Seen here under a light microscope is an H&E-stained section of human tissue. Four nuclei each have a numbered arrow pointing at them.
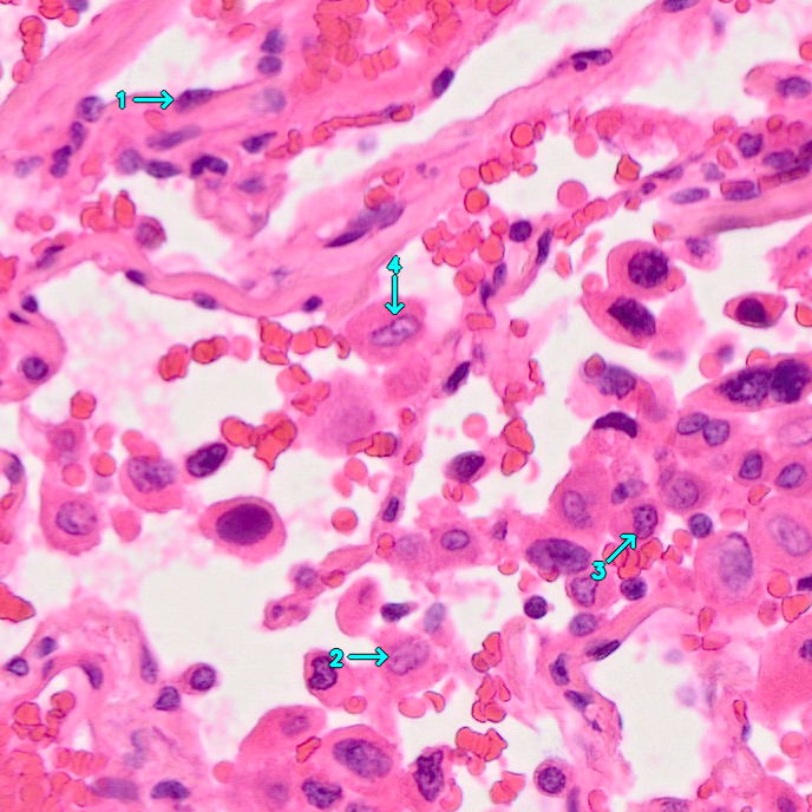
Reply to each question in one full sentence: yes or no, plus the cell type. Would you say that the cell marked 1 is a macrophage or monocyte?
No, calling cell 1 a macrophage or monocyte is a mistake; it is a type I pneumocyte.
